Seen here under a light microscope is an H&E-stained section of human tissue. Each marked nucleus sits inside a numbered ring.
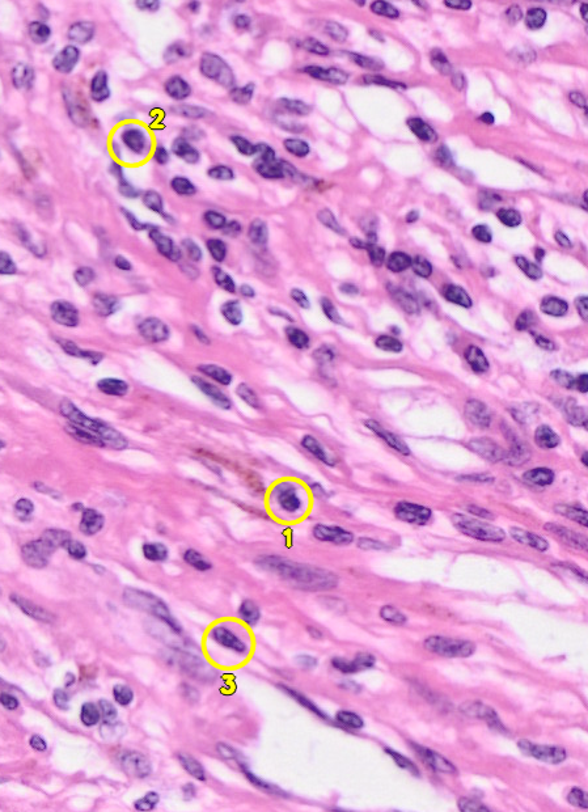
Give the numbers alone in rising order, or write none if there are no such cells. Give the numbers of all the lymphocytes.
1, 3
